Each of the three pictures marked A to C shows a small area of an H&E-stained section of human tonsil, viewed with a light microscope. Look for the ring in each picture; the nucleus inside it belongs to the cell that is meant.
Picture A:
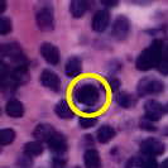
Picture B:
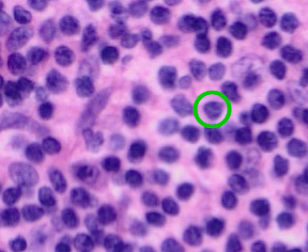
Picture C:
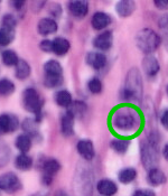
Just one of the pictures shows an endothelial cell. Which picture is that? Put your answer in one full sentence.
It is picture C that shows the endothelial cell.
